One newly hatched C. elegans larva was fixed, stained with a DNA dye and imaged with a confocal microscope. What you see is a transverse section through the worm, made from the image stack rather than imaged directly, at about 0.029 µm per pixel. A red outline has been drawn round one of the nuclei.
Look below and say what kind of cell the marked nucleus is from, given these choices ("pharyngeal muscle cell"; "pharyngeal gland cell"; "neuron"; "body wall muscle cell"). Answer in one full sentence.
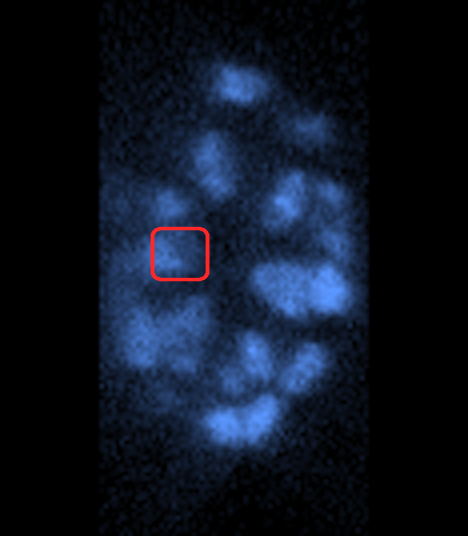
The cell with the marked nucleus is a pharyngeal gland cell.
